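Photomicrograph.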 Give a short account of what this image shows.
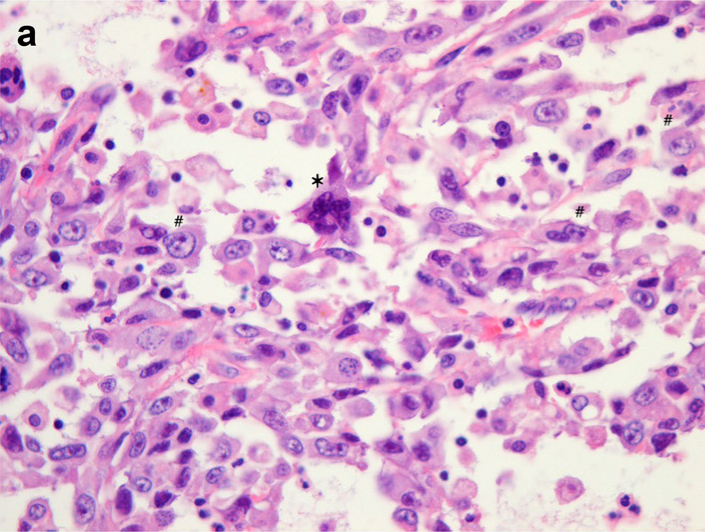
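Loosely arranged large cells with abundant pink cytoplasm fill the field, their nuclei varying greatly in size and shape, some round and vesicular with conspicuous nucleoli, others elongated and dark. Small round dark cells are scattered between them. These are malignant cells with marked nuclear pleomorphism, and the large many-nucleated cell is a multinucleated tumor giant cell.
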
